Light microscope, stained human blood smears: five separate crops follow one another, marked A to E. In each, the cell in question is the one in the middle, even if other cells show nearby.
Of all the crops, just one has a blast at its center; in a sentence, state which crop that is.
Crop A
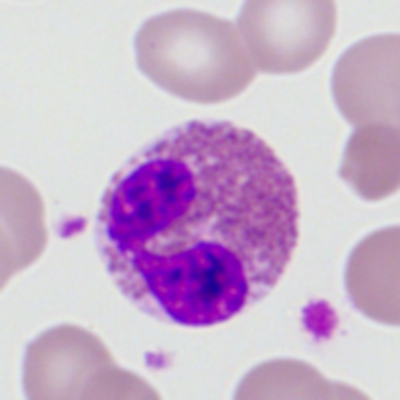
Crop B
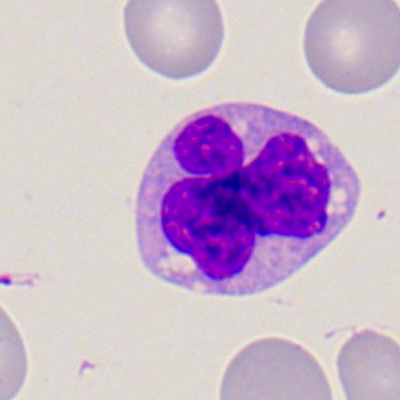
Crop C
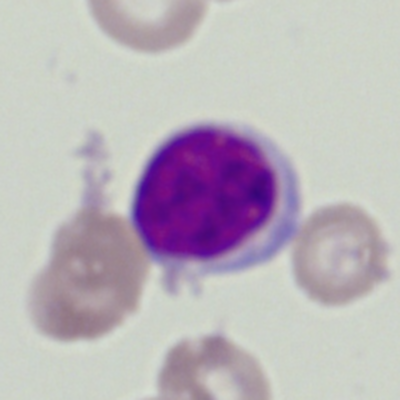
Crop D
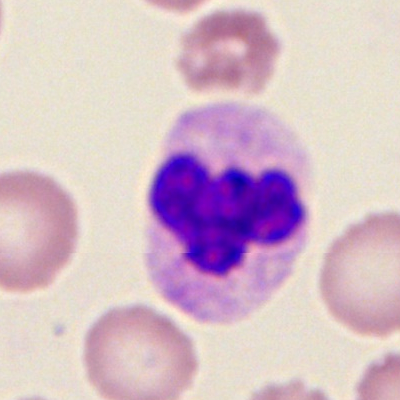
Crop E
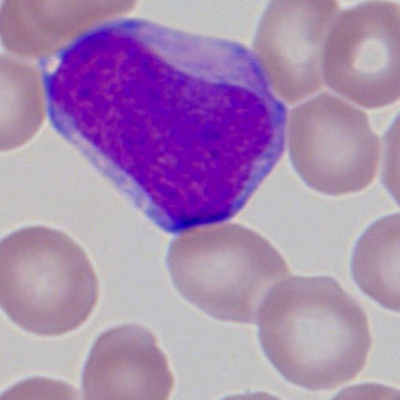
Crop E is the crop whose central cell is a blast.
